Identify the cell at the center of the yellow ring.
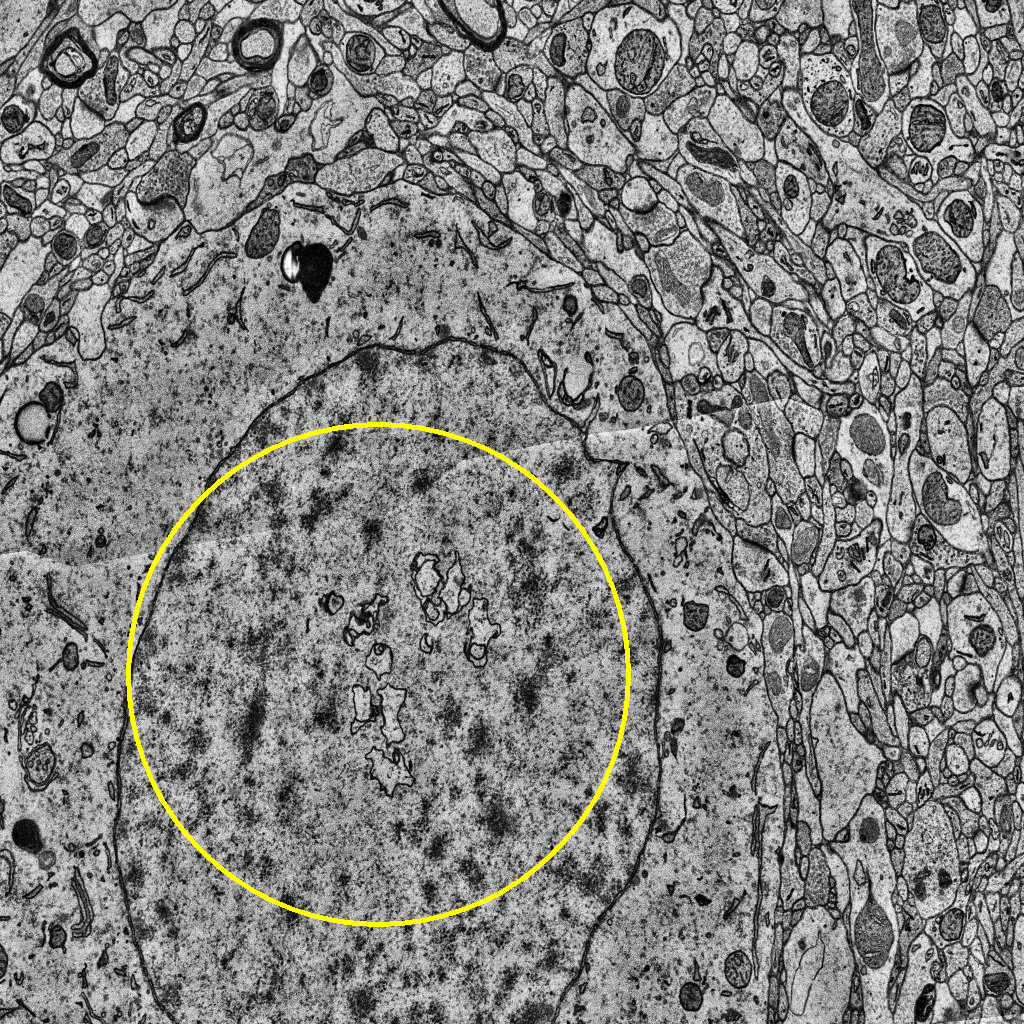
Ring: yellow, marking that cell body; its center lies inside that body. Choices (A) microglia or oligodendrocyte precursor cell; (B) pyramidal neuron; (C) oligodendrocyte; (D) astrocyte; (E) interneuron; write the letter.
B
